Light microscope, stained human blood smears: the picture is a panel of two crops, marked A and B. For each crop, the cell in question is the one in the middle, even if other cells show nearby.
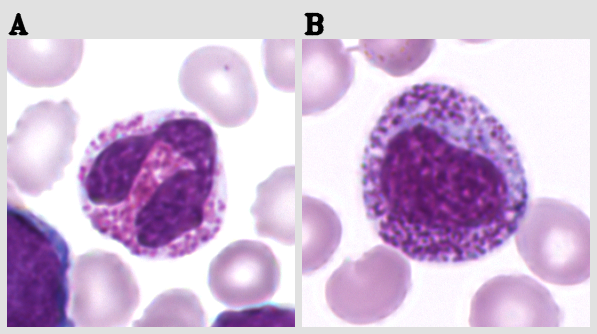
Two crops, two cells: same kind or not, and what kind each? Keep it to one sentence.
No, just to correct that: crop A shows an eosinophil, crop B shows a myelocyte.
